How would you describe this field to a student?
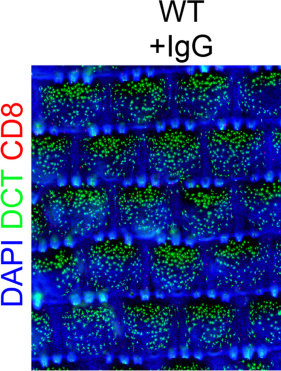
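This skin wholemount shows melanocytes as small green dots packed into dense patches, one patch within each of the regular rectangular units that repeat in rows across the field. Blue nuclei outline the borders of the units and appear as brighter blue spots along them, and hardly any red cells are to be seen.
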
